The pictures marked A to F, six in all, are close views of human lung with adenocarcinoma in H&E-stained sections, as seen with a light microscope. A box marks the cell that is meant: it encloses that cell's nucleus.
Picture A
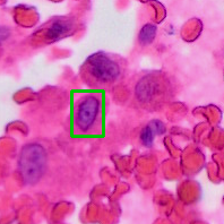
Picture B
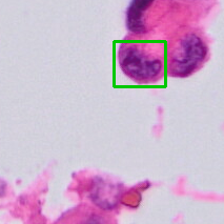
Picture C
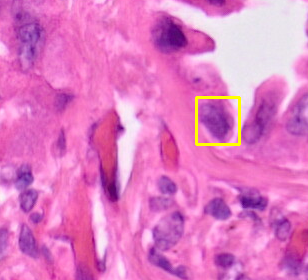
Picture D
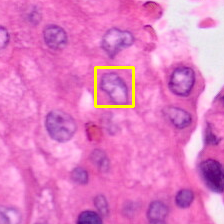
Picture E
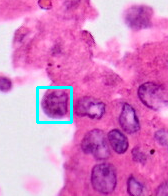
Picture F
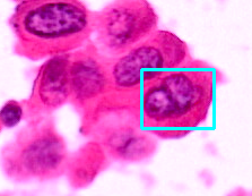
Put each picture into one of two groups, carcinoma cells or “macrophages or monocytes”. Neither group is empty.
A: macrophage or monocyte
B: carcinoma cell
C: carcinoma cell
D: macrophage or monocyte
E: macrophage or monocyte
F: carcinoma cell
